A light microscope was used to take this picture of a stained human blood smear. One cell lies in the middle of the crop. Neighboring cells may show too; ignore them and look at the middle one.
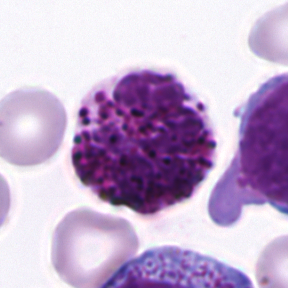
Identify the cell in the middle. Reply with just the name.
basophil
